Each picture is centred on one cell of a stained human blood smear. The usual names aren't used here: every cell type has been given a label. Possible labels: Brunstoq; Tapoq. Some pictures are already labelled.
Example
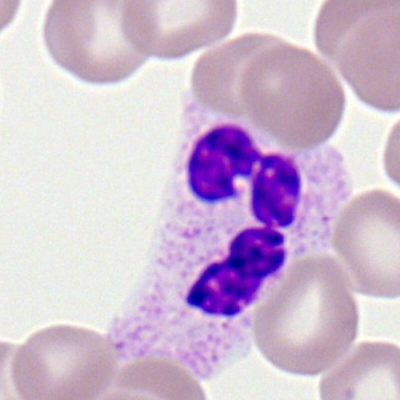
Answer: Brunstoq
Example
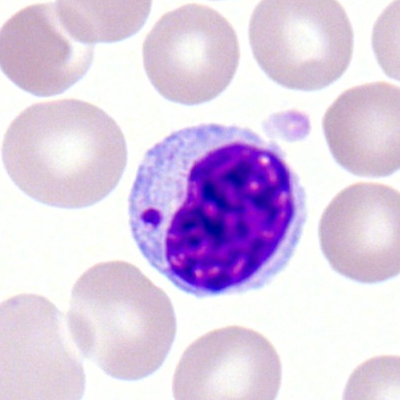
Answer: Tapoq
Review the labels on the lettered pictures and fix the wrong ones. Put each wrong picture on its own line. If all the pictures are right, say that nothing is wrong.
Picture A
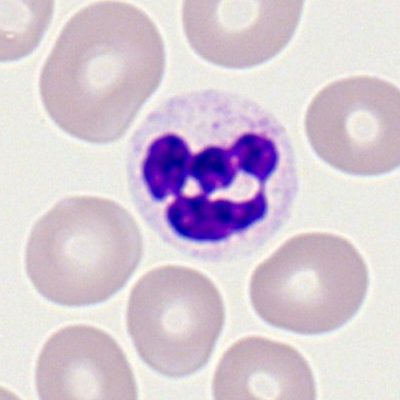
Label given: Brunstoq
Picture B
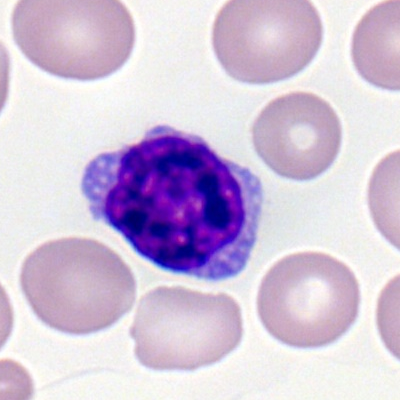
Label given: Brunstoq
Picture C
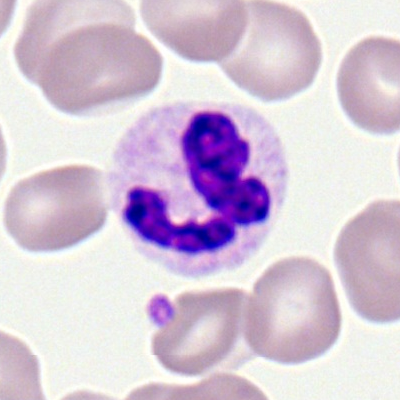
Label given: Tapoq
B is labelled Brunstoq; correct label: Tapoq
C is labelled Tapoq; correct label: Brunstoq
